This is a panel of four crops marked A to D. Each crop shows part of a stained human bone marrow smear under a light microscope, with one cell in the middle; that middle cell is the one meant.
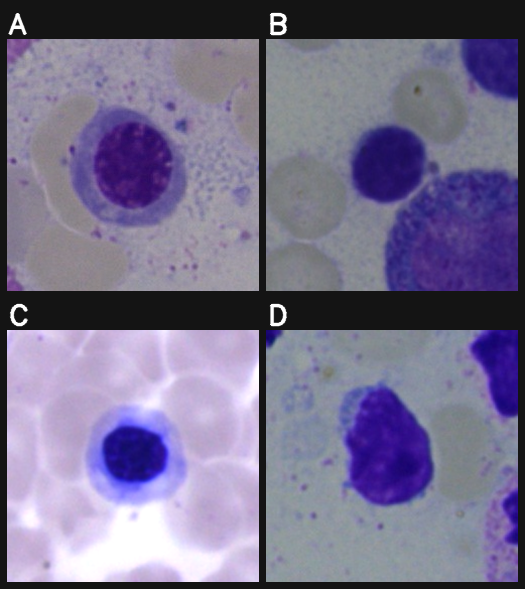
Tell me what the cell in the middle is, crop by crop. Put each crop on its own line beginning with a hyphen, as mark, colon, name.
- A: erythroblast
- B: lymphocyte
- C: erythroblast
- D: lymphocyte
